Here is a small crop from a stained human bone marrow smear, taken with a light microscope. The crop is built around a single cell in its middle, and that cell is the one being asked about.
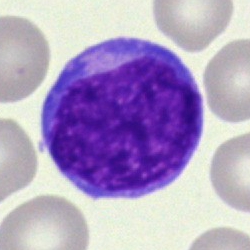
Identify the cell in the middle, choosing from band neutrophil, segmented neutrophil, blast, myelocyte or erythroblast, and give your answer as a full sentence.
For this crop, the cell in the middle is a blast.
